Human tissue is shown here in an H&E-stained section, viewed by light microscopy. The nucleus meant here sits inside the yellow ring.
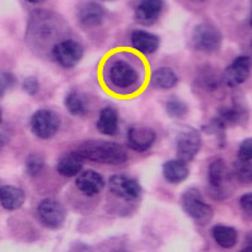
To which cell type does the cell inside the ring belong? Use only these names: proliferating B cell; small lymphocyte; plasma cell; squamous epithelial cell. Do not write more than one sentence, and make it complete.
Speaking plainly, the cell inside the ring is nothing other than a plasma cell.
